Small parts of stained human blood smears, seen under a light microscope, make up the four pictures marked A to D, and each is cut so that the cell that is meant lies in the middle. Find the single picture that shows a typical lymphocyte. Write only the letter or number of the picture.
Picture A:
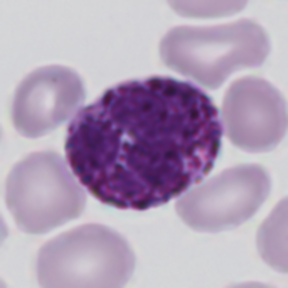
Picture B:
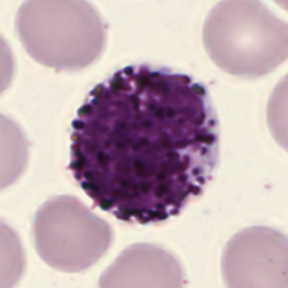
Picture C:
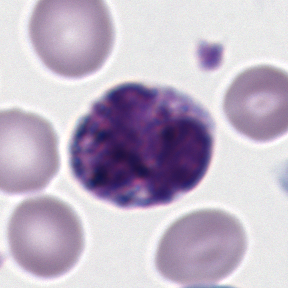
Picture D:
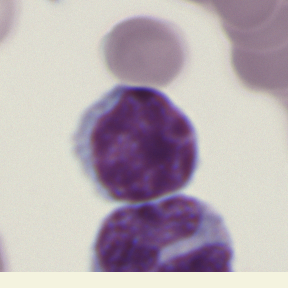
D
